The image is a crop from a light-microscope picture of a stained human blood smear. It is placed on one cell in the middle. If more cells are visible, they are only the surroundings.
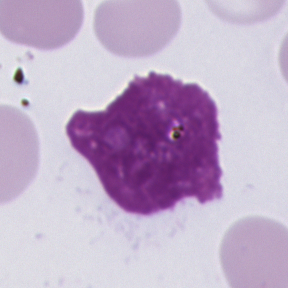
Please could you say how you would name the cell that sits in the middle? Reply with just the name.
smudge cell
